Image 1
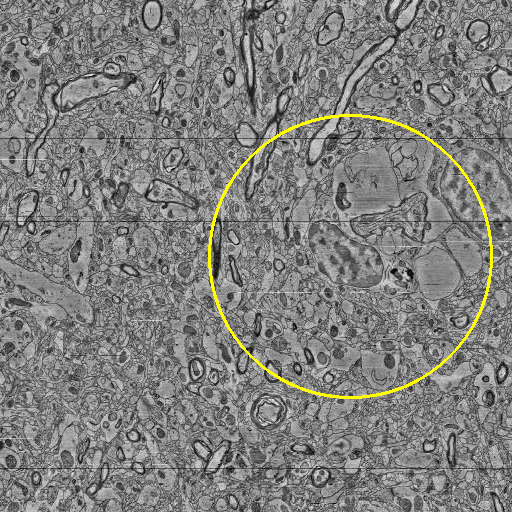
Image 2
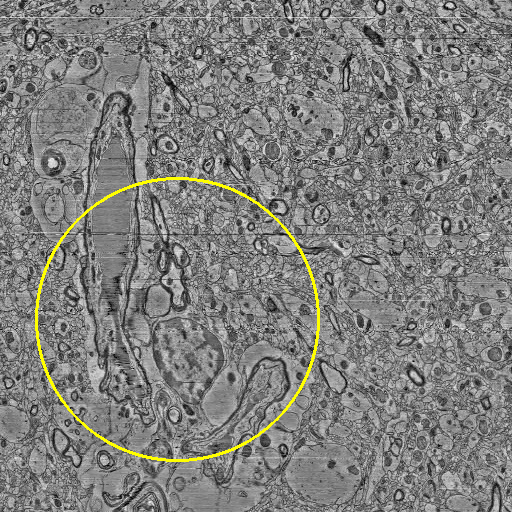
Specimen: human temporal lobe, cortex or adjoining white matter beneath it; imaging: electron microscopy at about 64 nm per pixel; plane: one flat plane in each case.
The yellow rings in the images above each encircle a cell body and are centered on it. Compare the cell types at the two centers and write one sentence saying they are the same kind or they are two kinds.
Taken together, the two cells at the ring centers are the same kind.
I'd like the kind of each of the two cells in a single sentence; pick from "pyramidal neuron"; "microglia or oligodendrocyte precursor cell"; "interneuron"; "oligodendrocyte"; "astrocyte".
Each of the two cells is a microglial cell or oligodendrocyte precursor cell.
